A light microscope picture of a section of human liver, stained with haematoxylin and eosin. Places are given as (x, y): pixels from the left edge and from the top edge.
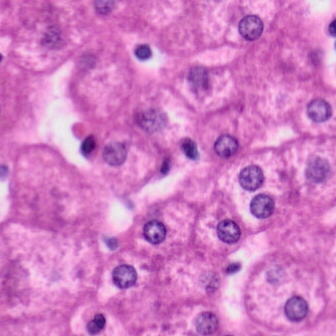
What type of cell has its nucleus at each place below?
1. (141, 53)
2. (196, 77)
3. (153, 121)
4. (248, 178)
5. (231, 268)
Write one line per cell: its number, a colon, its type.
1: lymphocyte
2: hepatocyte
3: hepatocyte
4: hepatocyte
5: lymphocyte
